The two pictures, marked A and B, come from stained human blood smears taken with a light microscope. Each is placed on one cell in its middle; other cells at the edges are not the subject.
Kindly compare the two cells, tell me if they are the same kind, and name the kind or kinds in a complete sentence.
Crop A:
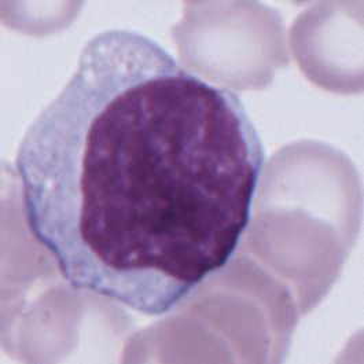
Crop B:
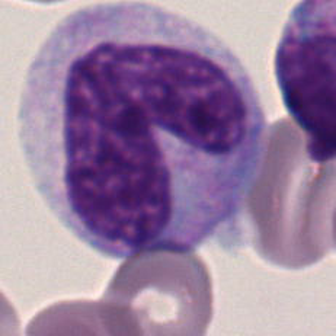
No, the cells are a monocyte in crop A and a band neutrophil in crop B.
